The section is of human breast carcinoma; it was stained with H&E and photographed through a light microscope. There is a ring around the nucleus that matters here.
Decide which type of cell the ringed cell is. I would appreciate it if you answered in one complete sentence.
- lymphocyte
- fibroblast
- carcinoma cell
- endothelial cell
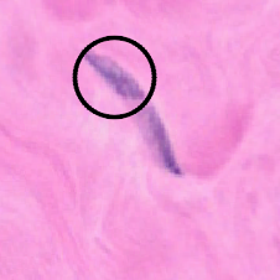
Speaking plainly, the ringed cell is nothing other than a fibroblast.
